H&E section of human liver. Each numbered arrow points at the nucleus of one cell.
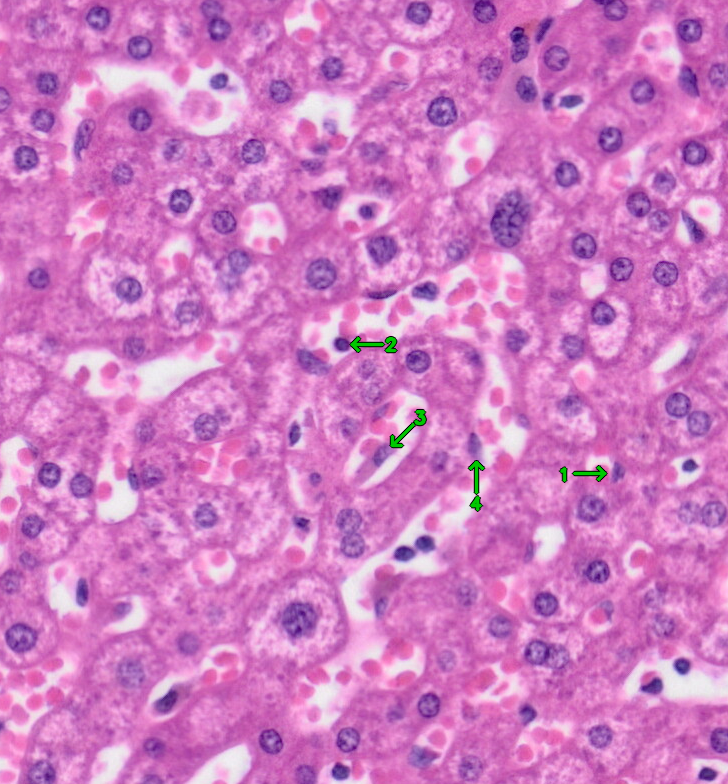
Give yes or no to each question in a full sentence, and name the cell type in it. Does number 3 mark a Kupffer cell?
Yes, the one with the number 3 is a Kupffer cell.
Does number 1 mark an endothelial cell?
Yes, the marked cell numbered 1 is an endothelial cell.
